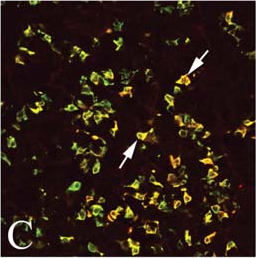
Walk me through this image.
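The labeled cells are irregular, angular or polygonal bodies that lie singly or in small loose clusters, separated by dark, unlabeled tissue. Many of them appear yellow to orange, meaning the green and red labels fall in the same cells, while some remain mostly green. The label fills the cytoplasm, and a darker unlabeled centre in some cells suggests the position of the nucleus. The arrows point to two such yellow cells in the middle of the field.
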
